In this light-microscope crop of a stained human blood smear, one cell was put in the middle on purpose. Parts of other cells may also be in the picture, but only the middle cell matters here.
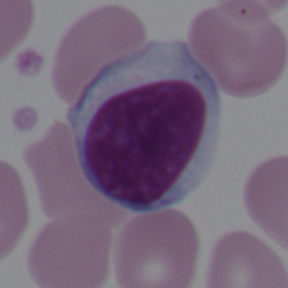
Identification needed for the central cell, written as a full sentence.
By type, the central cell of the crop is a typical lymphocyte.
